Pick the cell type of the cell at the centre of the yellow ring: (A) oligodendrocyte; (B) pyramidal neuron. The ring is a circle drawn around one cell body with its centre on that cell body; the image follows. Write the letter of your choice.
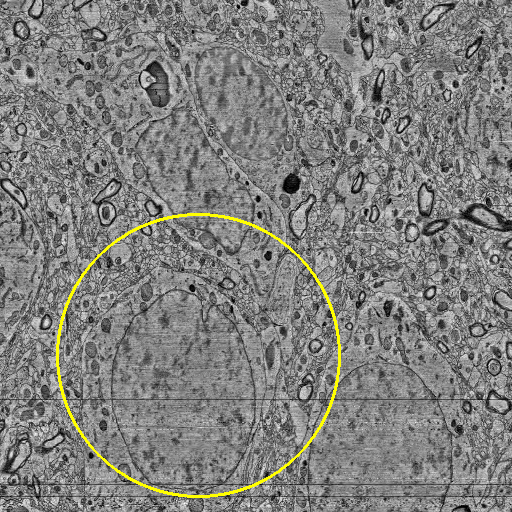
B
